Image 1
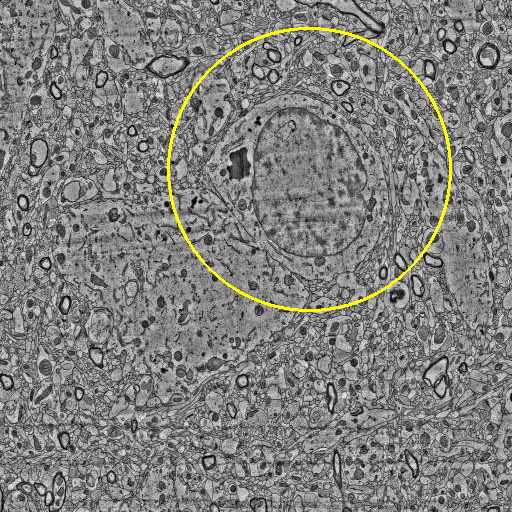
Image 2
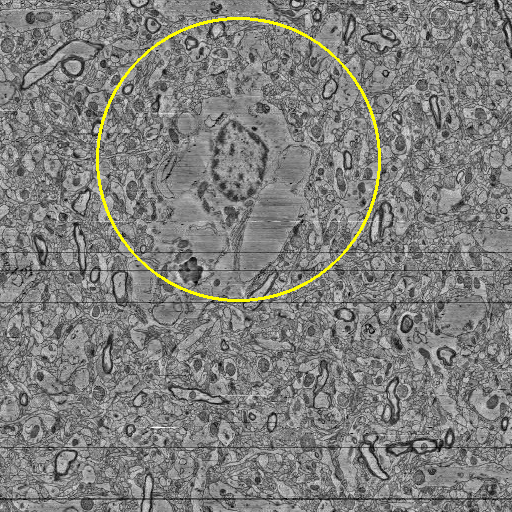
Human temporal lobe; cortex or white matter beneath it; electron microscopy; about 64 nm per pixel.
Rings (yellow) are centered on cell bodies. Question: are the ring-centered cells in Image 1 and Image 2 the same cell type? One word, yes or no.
no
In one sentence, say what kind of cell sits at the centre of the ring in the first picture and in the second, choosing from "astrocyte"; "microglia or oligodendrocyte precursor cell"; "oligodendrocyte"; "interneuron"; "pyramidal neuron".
The first picture's ringed cell is an interneuron, while the second picture's is an astrocyte.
